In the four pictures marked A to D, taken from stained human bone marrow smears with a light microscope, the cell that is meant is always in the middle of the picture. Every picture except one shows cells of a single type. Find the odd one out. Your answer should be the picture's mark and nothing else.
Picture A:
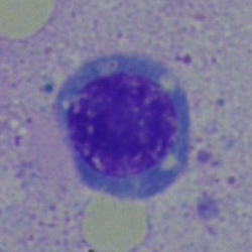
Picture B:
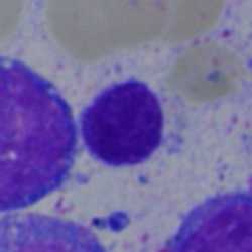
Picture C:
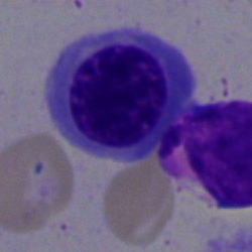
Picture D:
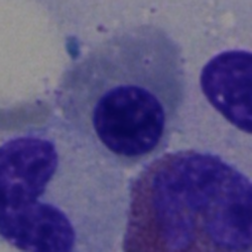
B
